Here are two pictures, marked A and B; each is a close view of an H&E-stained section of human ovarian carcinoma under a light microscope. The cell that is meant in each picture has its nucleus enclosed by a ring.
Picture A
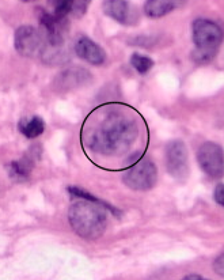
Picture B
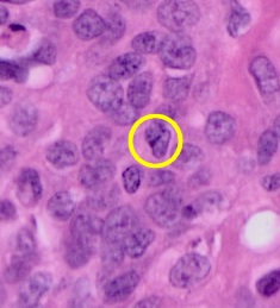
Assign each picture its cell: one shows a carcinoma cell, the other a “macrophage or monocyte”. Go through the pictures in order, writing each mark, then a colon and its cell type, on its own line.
A: carcinoma cell
B: macrophage or monocyte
